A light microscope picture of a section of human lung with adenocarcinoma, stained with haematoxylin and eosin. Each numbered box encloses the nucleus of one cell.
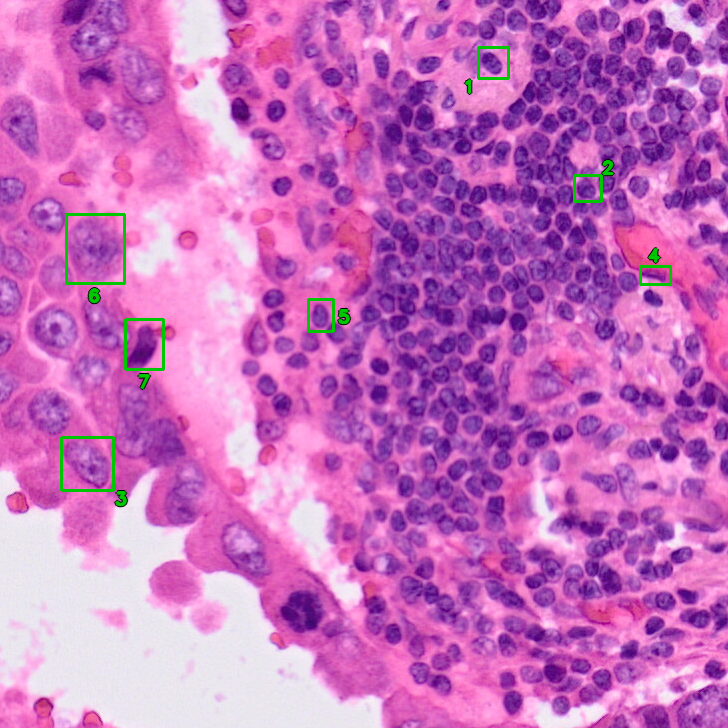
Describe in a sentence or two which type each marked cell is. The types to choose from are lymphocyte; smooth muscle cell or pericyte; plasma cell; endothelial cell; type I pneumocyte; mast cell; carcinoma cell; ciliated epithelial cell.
Cells 1, 2 and 5 are lymphocytes. Cells 3, 6 and 7 are carcinoma cells. Cell 4 is an endothelial cell.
